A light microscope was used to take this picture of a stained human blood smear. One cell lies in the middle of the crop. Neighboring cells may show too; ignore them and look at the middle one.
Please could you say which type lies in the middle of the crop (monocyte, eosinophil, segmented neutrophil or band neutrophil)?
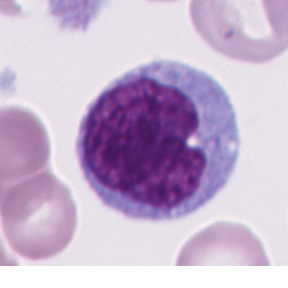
monocyte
